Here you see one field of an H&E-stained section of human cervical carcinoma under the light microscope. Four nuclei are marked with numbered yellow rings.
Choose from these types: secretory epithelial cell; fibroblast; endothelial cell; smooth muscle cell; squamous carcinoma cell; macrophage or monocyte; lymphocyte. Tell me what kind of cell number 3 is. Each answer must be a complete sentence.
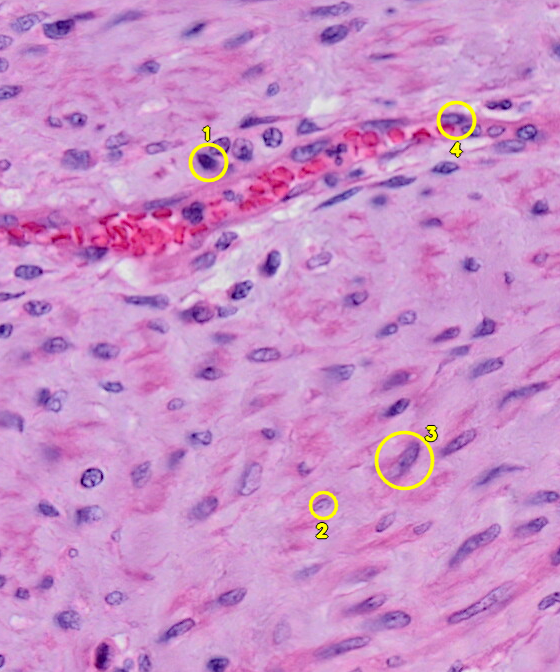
Classified as a smooth muscle cell is the cell with the number 3.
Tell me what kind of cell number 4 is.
Among the marked nuclei, number 4 belongs to an endothelial cell.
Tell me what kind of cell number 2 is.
The cell marked with number 2 is a smooth muscle cell.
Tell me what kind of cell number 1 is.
The cell marked with the number 1 is a lymphocyte.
